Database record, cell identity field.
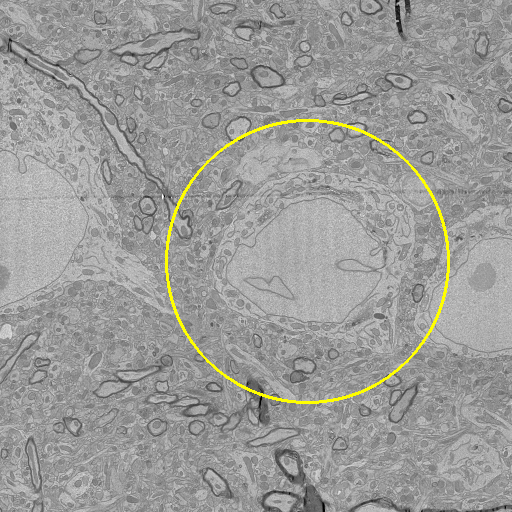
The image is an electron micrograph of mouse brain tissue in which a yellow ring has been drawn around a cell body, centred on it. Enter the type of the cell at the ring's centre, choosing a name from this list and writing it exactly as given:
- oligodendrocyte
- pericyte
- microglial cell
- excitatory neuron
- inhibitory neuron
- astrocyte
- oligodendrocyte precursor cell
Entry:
inhibitory neuron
